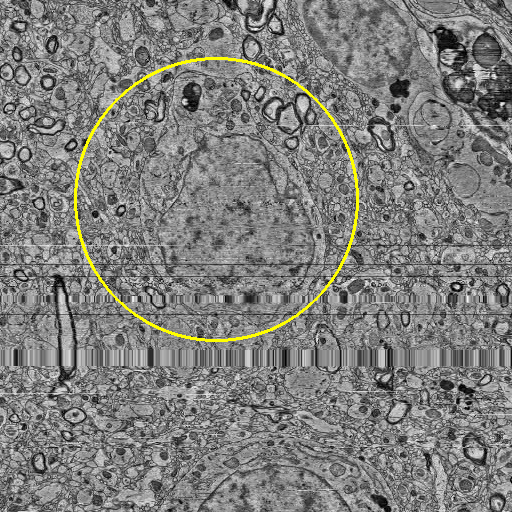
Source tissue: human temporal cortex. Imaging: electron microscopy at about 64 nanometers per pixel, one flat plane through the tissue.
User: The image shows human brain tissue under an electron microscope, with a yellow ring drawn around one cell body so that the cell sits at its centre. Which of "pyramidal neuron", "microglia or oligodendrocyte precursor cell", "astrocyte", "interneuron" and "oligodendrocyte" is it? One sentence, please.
At the centre of the ring sits an interneuron.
